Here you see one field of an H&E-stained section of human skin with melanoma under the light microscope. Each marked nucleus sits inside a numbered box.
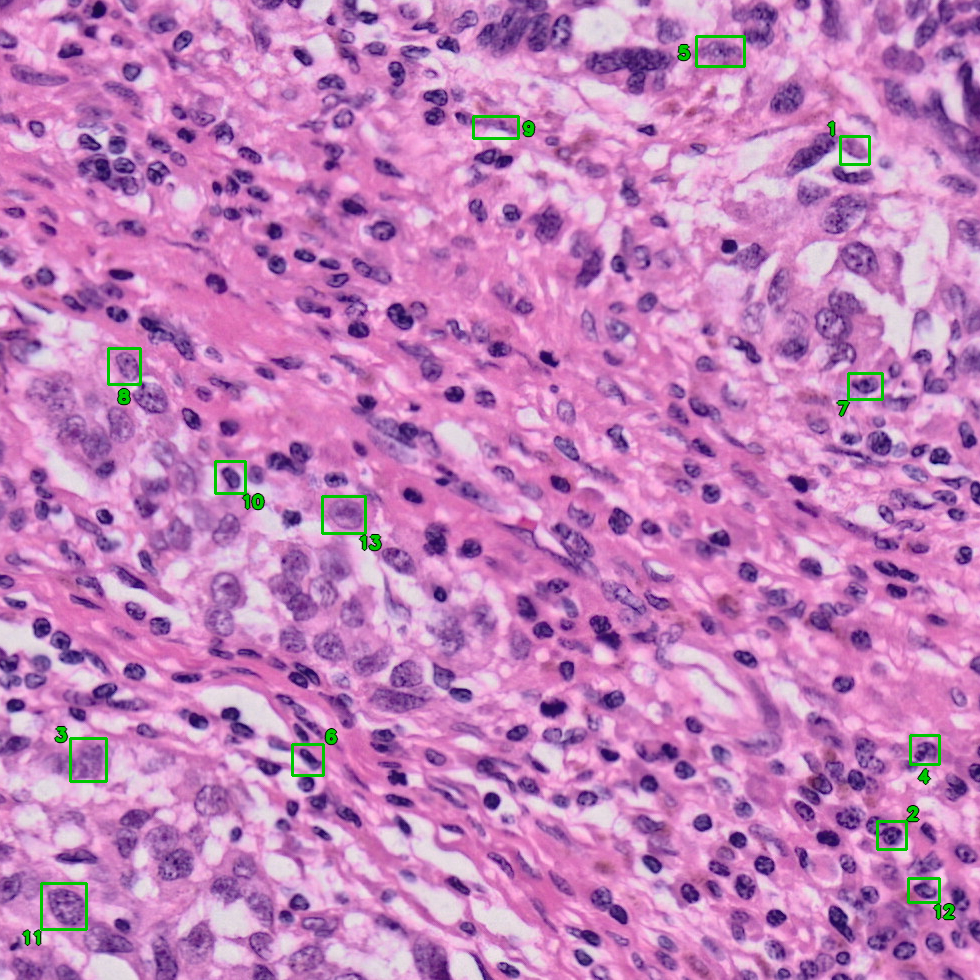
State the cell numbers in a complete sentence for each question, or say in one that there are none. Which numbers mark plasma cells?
As for the cells numbered 2 and 4, they are plasma cells.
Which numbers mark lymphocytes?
Within this tissue, the cells numbered 6, 7, 10 and 12 are lymphocytes.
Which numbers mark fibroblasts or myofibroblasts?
Of the cells marked with numbers, cell 9 is the only one that is a fibroblast or myofibroblast.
